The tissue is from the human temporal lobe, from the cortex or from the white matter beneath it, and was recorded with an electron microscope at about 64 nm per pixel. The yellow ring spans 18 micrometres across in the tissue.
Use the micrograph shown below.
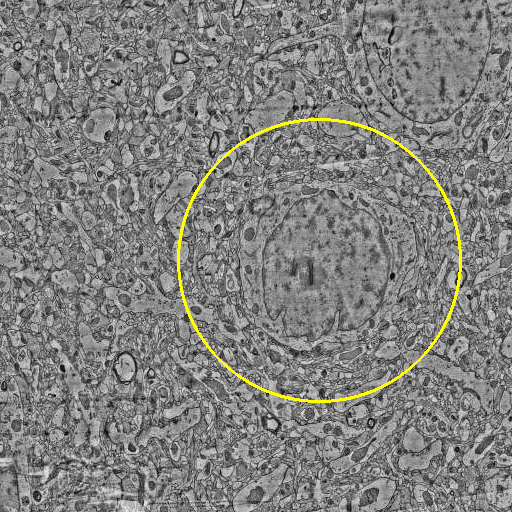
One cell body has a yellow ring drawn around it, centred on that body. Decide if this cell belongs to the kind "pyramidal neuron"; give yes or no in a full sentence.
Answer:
No, the cell lying at the ring's centre in the micrograph is of another kind.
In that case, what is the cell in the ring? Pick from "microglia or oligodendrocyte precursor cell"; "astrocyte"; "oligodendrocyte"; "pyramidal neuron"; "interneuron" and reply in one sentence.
The cell marked by the ring is an interneuron.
